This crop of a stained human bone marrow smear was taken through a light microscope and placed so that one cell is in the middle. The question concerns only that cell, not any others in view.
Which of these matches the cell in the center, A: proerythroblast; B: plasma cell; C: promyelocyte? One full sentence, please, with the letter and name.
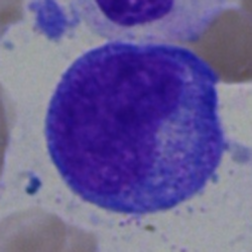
Option C correctly states that the central cell is a promyelocyte.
